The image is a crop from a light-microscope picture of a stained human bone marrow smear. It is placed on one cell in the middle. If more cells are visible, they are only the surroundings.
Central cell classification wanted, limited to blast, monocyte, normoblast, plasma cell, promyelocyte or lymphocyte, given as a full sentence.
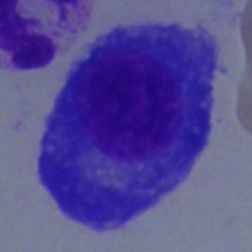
The cell featured at the centre of this crop is a plasma cell.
